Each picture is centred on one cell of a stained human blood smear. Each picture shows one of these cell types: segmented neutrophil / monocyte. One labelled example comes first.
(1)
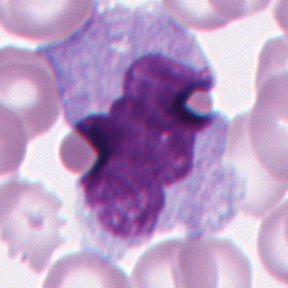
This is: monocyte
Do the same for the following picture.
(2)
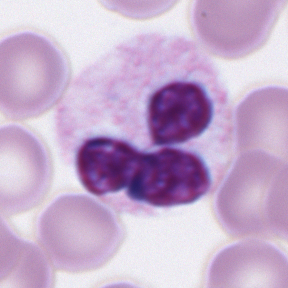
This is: segmented neutrophil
